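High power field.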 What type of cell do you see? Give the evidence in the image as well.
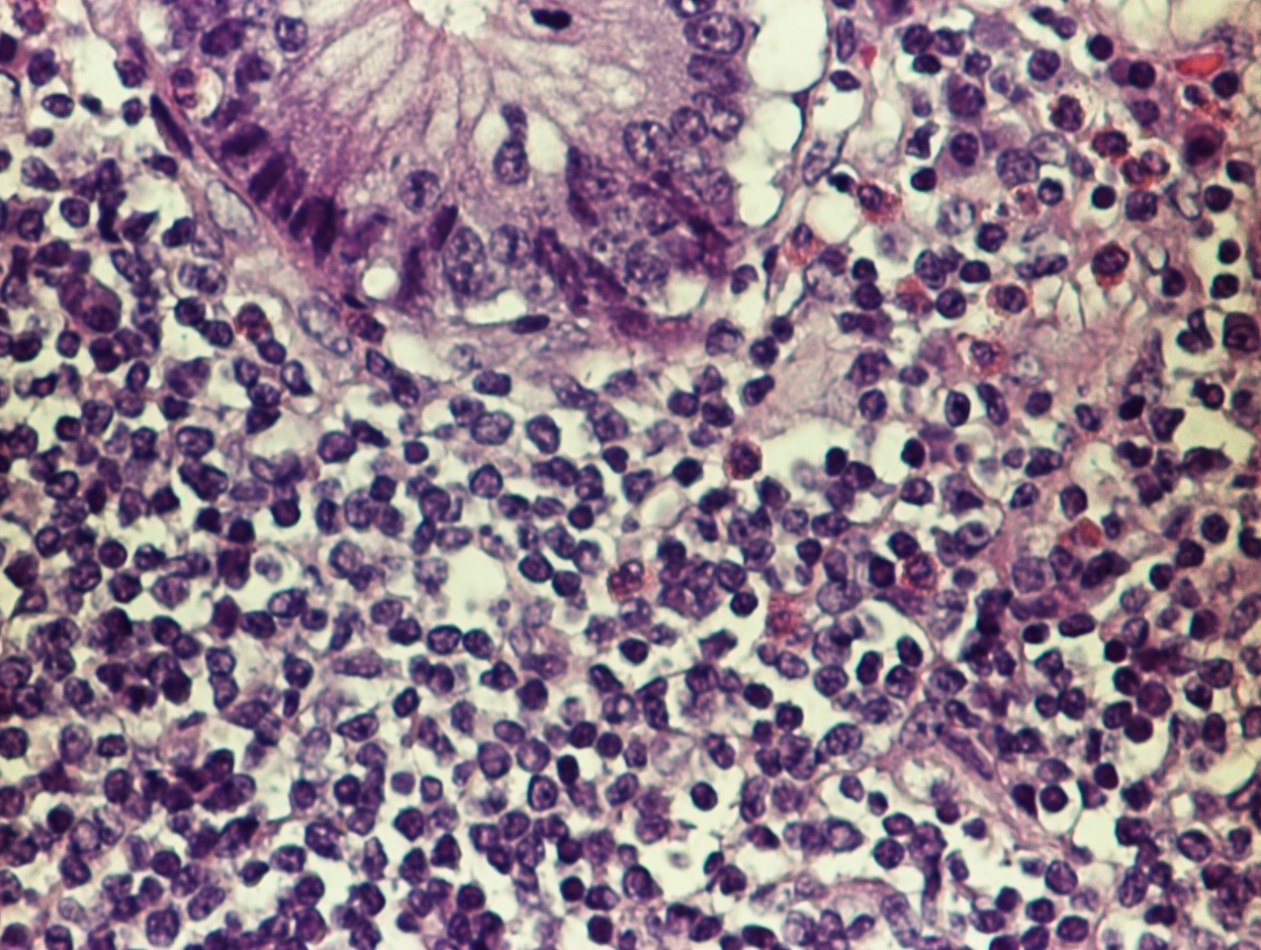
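Sheets of densely packed small round cells fill most of the field. The cells have round to slightly irregular, dark purple nuclei with scant cytoplasm. Nuclei vary from small to somewhat larger in size. On this evidence: small to medium sized lymphocytes.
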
